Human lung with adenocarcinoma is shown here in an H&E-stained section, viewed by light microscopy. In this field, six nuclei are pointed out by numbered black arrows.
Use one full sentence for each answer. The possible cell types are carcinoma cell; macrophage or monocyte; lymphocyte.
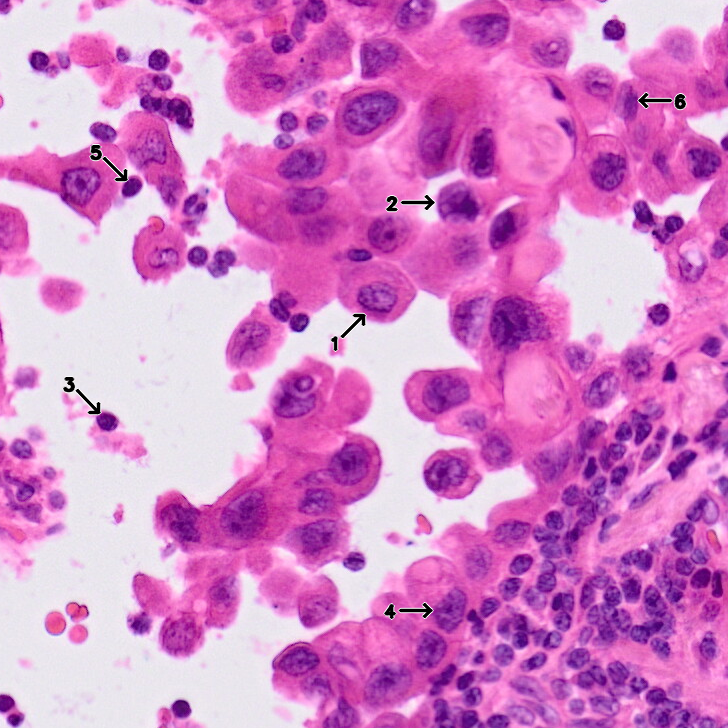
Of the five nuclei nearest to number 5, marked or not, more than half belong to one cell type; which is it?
Around number 5, most of the five nearest nuclei are those of carcinoma cells.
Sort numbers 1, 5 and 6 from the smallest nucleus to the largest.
The order from the smallest nucleus to the largest is 5, 6, 1.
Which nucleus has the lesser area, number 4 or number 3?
Nucleus 3 is the smaller one; nucleus 4 covers about 3 times its area.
